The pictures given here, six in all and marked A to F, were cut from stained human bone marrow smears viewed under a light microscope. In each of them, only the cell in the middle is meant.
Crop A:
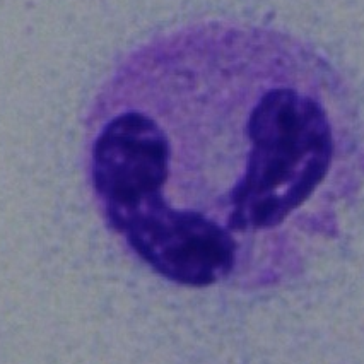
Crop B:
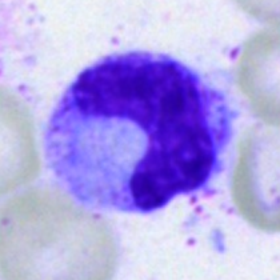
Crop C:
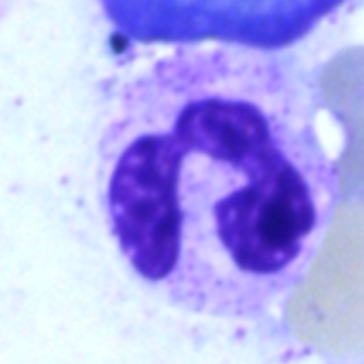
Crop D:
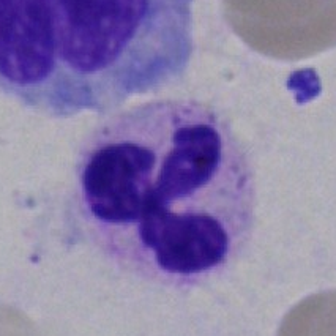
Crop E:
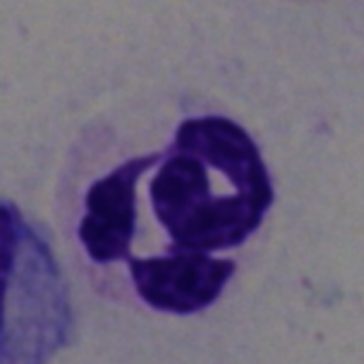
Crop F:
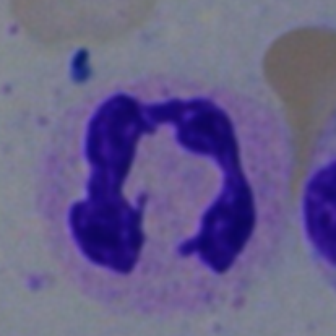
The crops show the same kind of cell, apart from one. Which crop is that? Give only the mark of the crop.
B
